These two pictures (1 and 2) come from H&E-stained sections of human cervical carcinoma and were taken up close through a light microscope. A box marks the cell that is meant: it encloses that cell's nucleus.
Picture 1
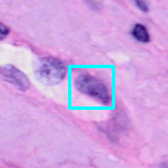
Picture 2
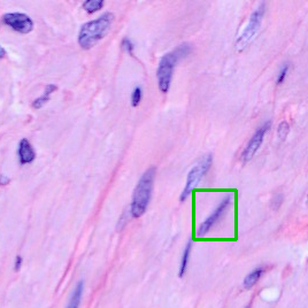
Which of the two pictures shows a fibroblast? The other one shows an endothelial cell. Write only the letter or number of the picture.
2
